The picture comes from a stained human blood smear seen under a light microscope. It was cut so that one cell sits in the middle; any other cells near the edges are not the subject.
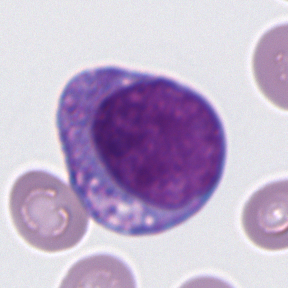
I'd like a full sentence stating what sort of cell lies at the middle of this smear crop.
The cell found in the middle of this crop is an atypical promyelocyte.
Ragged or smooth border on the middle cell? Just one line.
In short, the margin is smooth with no projections at all.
